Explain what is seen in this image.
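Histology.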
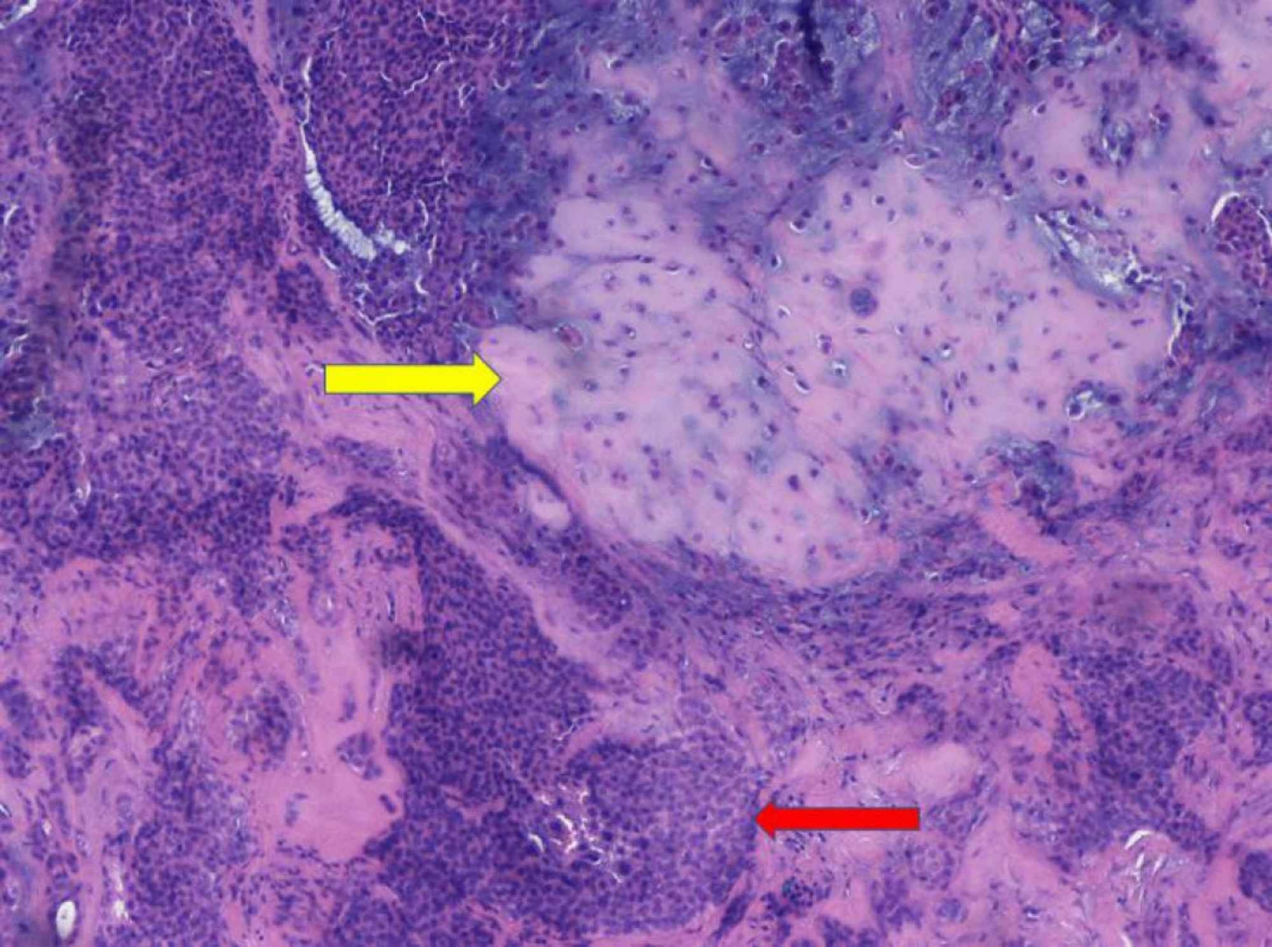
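This section shows a tumour made of two parts: nests of epithelial cells and a cartilage-like, mucoid stroma. At upper right lies a broad field of pale pink-lilac glassy matrix, in which scattered cells sit singly, some within clear spaces like the lacunae of cartilage, and whose upper border is bluish and mucoid. Around it, and over the rest of the field, small cells with round dark purple nuclei crowd together in nests and cords. Bands of pink fibrous stroma separate these nests from one another.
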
